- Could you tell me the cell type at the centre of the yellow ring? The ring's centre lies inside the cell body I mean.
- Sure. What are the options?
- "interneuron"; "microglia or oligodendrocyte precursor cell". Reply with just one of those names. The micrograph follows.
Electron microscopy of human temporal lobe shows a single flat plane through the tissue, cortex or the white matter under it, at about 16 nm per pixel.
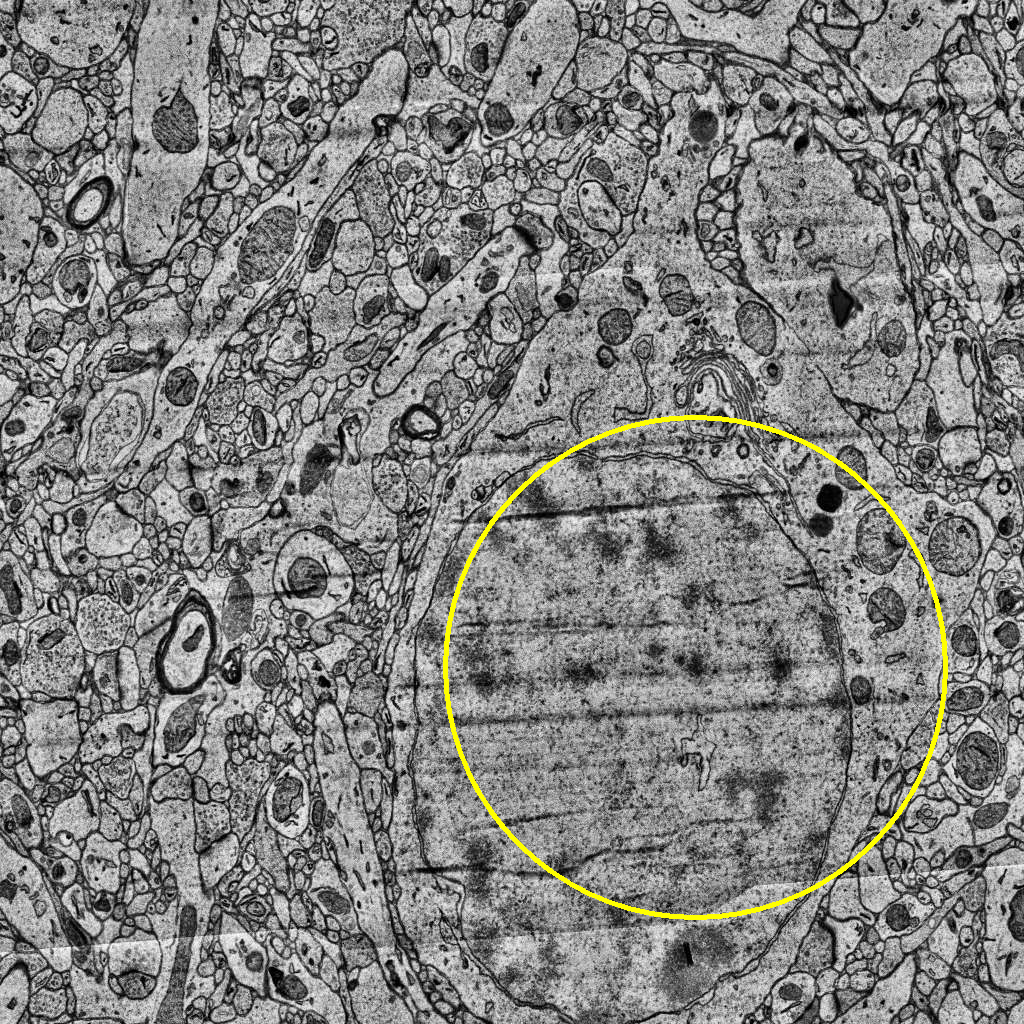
interneuron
